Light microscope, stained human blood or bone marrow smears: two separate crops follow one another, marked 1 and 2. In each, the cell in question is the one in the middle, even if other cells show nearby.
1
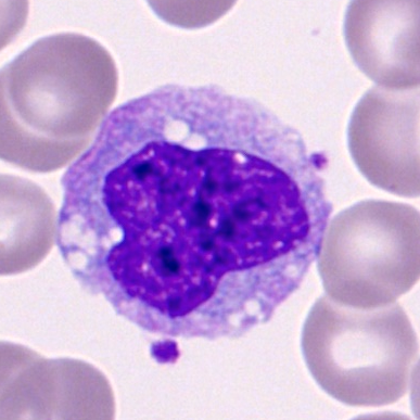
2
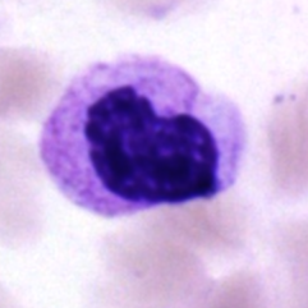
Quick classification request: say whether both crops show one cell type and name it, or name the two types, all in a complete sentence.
No, crop 1 features a monocyte, while crop 2 features a neutrophil.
